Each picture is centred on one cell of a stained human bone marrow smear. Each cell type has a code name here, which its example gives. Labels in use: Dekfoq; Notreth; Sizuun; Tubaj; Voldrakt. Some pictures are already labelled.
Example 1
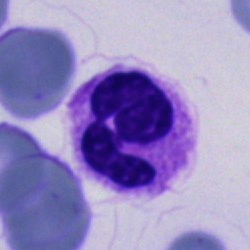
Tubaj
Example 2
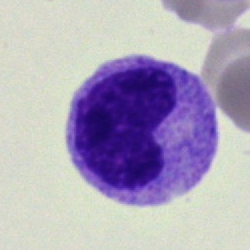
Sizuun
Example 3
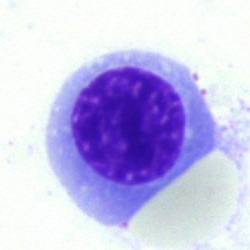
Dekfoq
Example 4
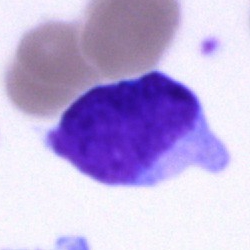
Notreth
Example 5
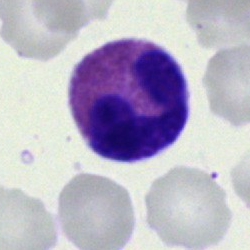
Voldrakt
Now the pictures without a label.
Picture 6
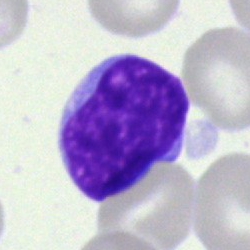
Notreth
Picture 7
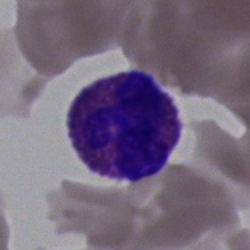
Voldrakt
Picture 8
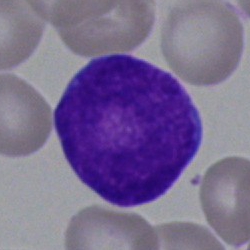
Notreth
